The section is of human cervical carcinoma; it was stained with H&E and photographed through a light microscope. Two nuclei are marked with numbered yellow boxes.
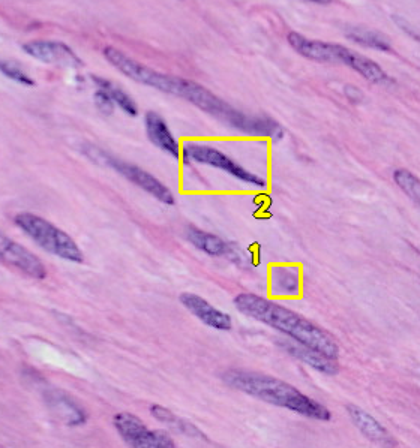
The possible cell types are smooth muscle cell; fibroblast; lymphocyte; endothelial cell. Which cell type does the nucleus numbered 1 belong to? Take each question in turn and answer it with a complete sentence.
The nucleus labeled 1 belongs to a smooth muscle cell.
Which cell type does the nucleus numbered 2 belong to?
The cell that goes by number 2 is a fibroblast.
